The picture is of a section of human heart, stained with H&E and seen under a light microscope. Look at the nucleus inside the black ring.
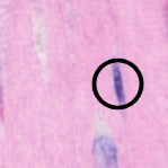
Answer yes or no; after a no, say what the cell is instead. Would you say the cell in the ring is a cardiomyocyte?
No, it is an endothelial cell.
